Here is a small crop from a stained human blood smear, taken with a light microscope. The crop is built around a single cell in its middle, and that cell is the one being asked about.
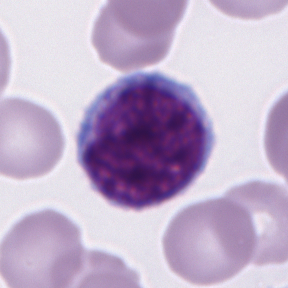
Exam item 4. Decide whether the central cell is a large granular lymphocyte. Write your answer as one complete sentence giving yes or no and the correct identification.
No, the identification should read a typical lymphocyte, not a large granular lymphocyte, for the central cell.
